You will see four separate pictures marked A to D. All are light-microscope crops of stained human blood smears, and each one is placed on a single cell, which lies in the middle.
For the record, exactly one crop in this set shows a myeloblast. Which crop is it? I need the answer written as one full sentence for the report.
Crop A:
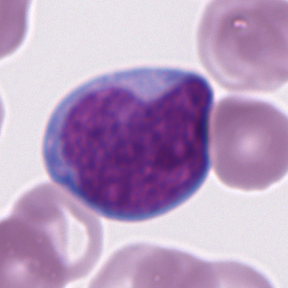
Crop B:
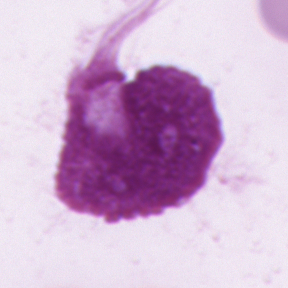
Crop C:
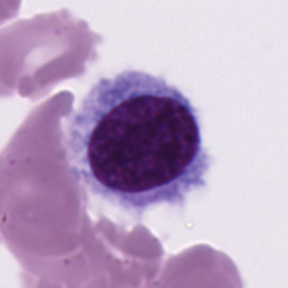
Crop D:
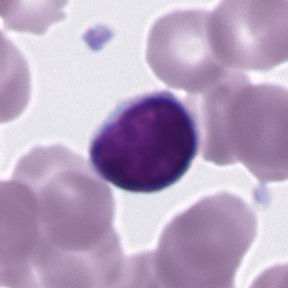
The one that shows a myeloblast is crop A.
